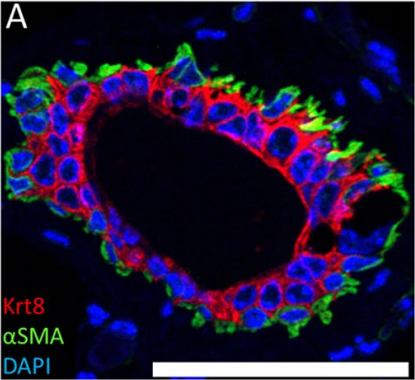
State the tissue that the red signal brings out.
Luminal layer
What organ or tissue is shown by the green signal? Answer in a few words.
Basal layer.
